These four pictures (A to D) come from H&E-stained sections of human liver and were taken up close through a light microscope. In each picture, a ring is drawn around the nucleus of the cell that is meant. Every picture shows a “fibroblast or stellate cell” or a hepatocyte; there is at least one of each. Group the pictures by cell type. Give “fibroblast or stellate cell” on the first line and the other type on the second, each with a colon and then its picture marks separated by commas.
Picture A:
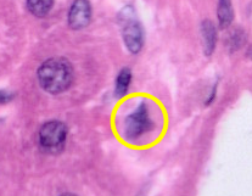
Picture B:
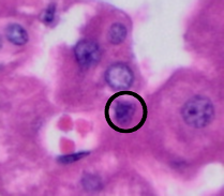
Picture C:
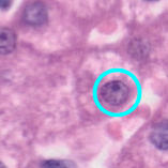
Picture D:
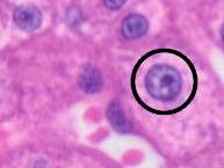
fibroblast or stellate cell: A, B
hepatocyte: C, D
